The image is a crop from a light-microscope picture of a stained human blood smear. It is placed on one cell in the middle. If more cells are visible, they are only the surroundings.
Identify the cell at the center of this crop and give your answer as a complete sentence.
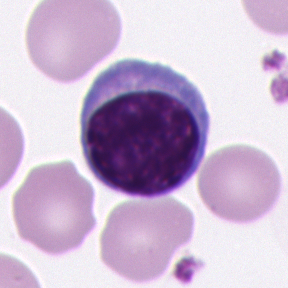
Framed in the middle of the crop is a lymphocyte.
